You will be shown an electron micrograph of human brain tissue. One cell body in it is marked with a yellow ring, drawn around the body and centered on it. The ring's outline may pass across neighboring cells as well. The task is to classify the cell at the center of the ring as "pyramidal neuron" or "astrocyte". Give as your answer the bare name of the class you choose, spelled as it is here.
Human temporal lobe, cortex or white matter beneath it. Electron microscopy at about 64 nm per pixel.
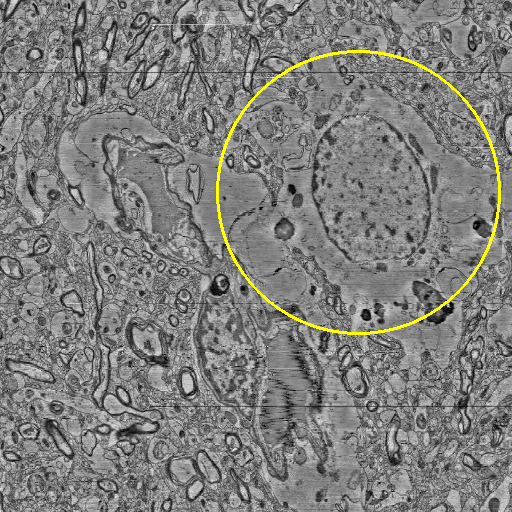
astrocyte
